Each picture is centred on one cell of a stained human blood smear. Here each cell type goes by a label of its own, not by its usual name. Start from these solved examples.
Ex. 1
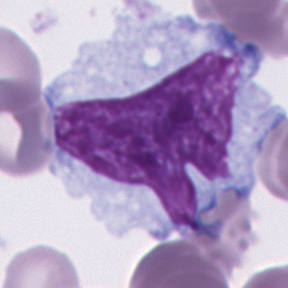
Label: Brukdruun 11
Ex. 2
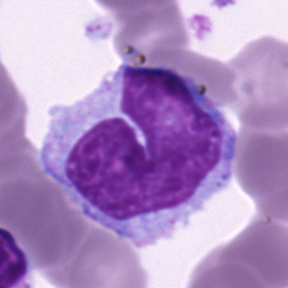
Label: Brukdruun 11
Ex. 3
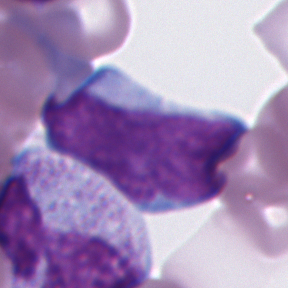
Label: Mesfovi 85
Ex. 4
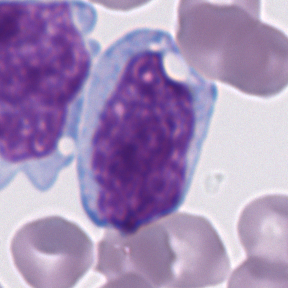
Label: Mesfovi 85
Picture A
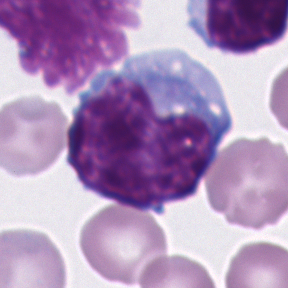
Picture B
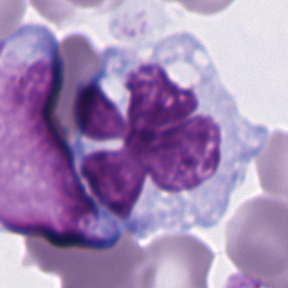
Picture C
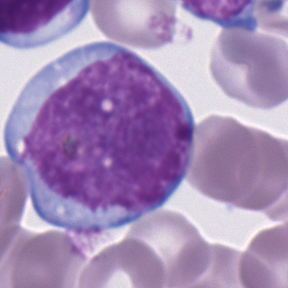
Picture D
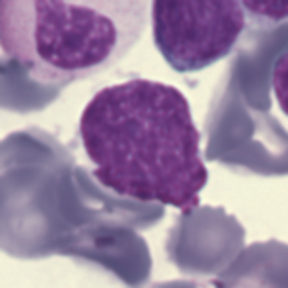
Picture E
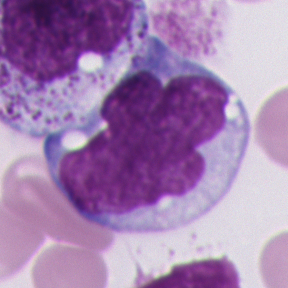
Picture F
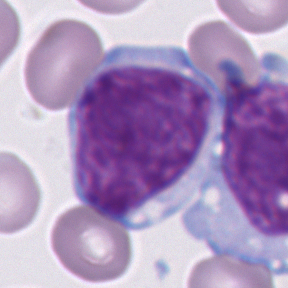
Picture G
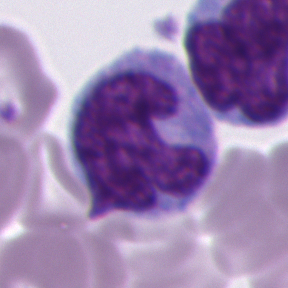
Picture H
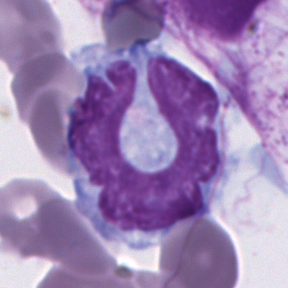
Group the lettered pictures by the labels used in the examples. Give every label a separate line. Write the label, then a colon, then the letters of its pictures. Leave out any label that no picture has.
Brukdruun 11: A, B, E, G, H
Mesfovi 85: C, D, F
